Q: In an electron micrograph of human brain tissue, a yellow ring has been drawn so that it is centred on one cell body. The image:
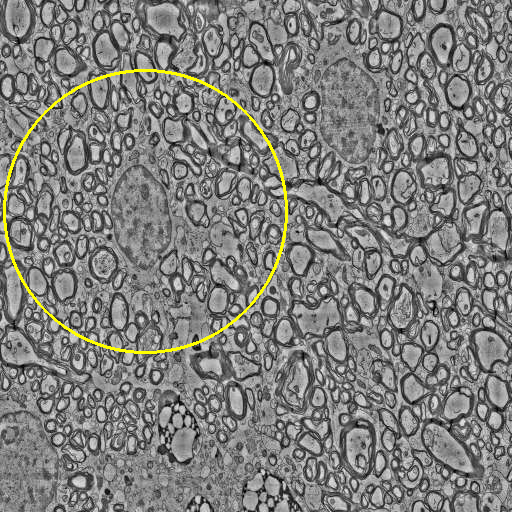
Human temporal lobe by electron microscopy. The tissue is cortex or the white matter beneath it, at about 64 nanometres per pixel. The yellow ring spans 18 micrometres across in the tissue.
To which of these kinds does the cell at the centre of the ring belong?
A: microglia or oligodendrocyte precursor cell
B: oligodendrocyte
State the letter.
B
